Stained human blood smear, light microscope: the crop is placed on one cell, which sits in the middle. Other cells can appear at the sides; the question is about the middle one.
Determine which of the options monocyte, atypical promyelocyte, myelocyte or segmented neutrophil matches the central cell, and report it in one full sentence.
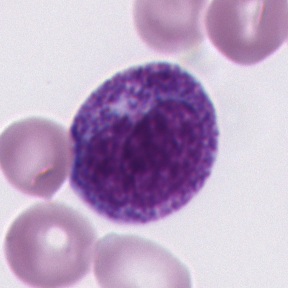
Framed in the middle of the crop is a myelocyte.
